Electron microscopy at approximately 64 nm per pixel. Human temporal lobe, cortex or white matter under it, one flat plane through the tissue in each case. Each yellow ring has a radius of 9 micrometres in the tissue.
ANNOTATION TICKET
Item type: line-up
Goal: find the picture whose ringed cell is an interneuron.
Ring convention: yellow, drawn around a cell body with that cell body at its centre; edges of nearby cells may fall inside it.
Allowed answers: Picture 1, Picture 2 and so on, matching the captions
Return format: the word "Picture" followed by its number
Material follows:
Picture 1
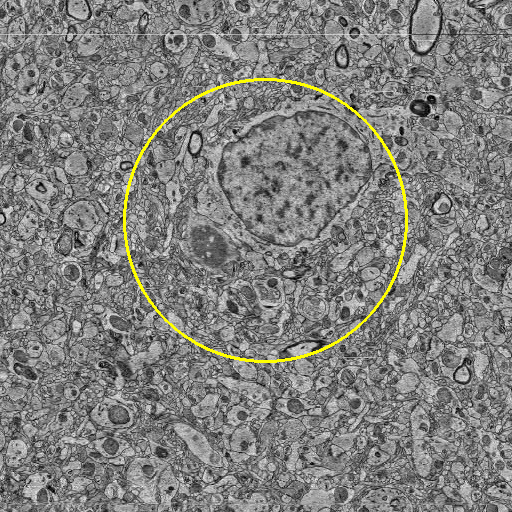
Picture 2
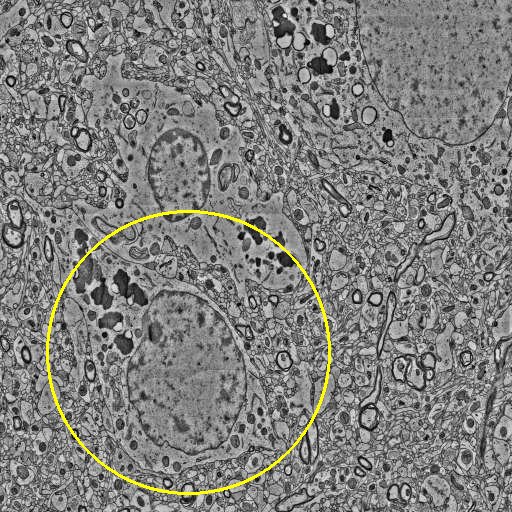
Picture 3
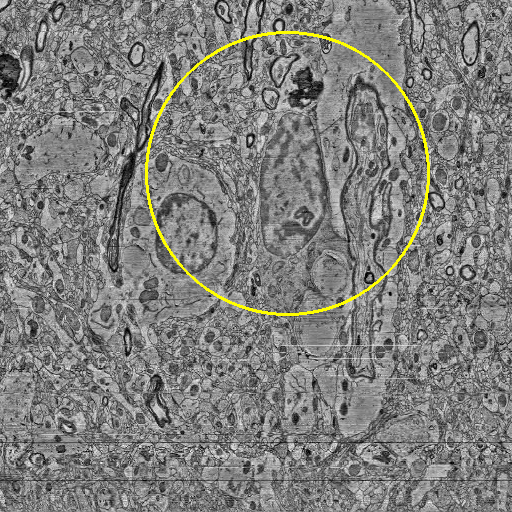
Picture 2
